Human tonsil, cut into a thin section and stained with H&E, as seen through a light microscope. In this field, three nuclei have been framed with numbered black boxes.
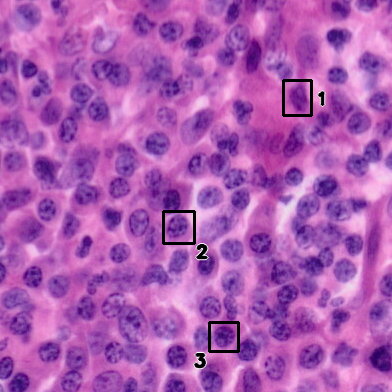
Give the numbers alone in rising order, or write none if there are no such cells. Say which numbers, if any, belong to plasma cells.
2, 3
